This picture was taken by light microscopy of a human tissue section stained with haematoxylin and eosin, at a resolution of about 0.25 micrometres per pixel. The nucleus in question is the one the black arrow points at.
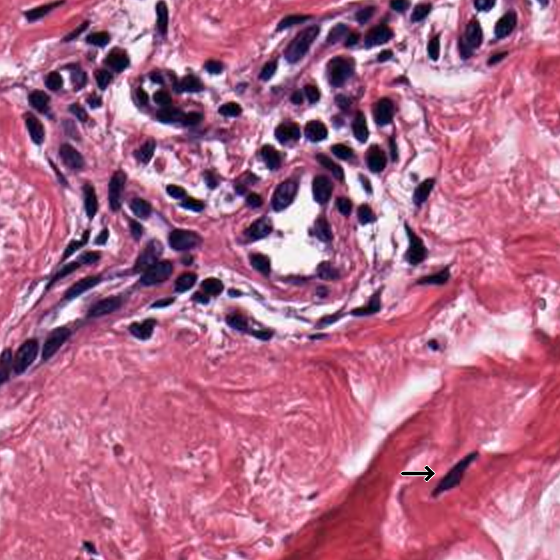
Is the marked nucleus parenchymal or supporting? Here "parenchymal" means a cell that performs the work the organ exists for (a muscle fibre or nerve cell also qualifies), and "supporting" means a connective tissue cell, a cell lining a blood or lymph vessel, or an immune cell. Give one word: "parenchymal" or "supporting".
supporting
